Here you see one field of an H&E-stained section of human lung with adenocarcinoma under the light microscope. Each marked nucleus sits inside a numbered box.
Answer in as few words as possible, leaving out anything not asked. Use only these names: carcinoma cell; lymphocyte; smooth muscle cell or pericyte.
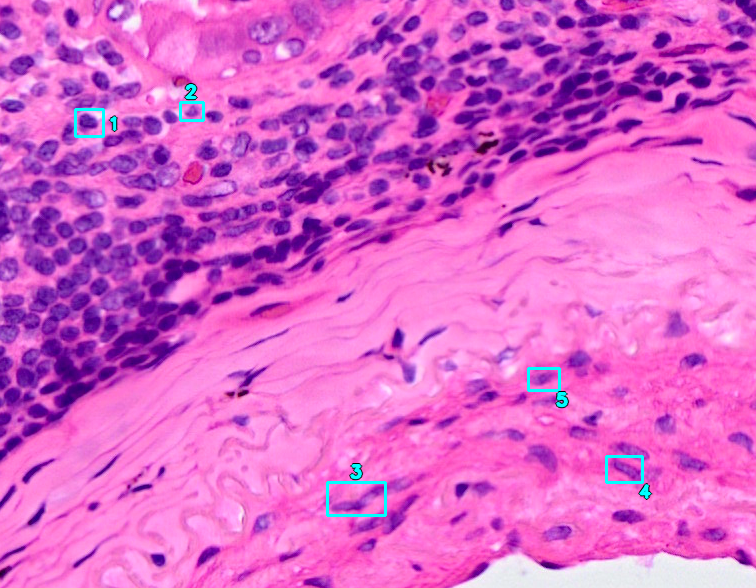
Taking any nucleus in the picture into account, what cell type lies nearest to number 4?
smooth muscle cell or pericyte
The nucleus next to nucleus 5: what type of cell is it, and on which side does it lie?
a smooth muscle cell or pericyte below nucleus 5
